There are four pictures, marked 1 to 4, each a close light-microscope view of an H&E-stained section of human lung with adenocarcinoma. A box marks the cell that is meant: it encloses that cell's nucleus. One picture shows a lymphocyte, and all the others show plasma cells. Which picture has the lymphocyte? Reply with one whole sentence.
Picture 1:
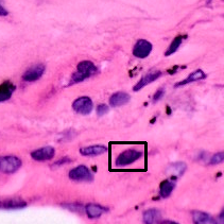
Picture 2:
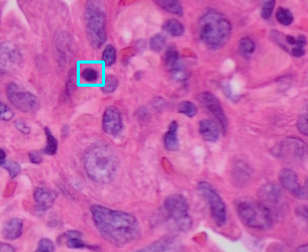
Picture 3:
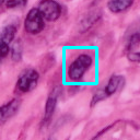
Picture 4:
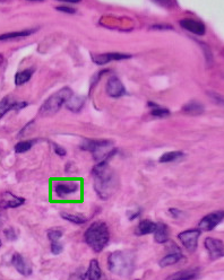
The cell in picture 2 is the lymphocyte.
